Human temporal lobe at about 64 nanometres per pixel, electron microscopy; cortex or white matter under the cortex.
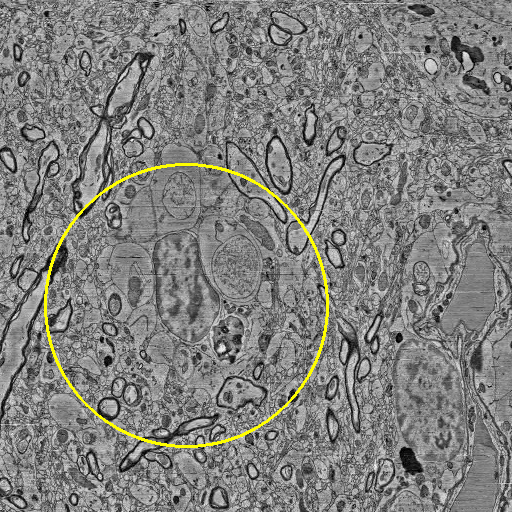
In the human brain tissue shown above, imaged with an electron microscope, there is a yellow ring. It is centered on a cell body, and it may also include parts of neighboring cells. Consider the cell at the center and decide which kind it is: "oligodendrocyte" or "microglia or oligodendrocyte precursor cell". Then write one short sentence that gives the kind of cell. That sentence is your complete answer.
This centered cell body is that of a microglial cell or oligodendrocyte precursor cell.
